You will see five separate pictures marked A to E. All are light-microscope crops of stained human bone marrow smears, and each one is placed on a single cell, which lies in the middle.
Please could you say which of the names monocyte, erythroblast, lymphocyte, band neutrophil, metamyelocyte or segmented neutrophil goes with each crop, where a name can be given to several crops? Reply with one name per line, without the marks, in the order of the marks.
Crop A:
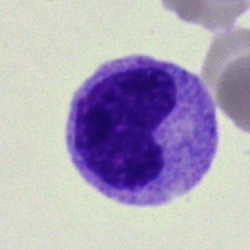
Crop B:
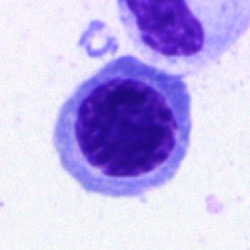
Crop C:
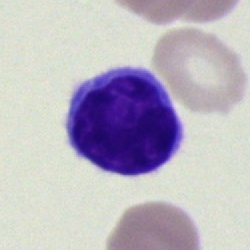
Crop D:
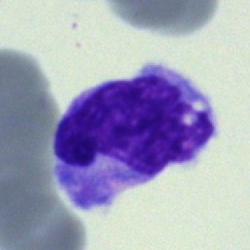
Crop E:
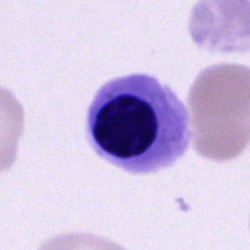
metamyelocyte
erythroblast
lymphocyte
monocyte
erythroblast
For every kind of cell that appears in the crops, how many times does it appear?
erythroblast: 2
metamyelocyte: 1
lymphocyte: 1
monocyte: 1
